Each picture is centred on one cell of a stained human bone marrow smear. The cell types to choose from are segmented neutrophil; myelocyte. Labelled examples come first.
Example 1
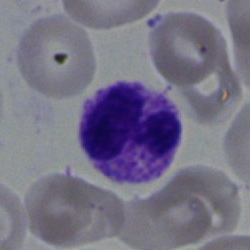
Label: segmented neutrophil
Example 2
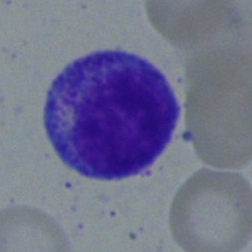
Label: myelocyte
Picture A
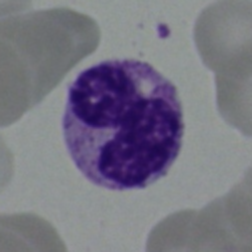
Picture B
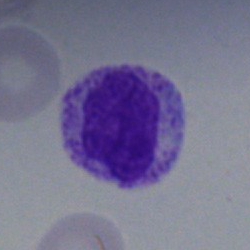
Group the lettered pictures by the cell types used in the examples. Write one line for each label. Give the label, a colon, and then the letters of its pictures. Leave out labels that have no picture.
segmented neutrophil: A
myelocyte: B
